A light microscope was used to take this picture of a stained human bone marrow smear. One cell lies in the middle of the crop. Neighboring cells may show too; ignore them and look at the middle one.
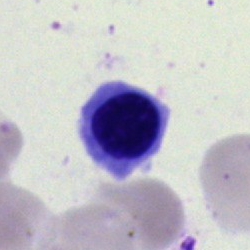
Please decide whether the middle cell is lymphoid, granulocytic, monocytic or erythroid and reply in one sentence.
Lineage classification of the central cell is erythroid.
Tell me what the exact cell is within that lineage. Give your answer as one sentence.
The middle of this crop is occupied by an erythroblast.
